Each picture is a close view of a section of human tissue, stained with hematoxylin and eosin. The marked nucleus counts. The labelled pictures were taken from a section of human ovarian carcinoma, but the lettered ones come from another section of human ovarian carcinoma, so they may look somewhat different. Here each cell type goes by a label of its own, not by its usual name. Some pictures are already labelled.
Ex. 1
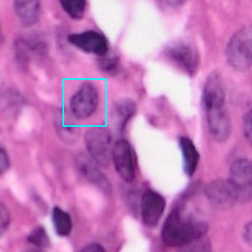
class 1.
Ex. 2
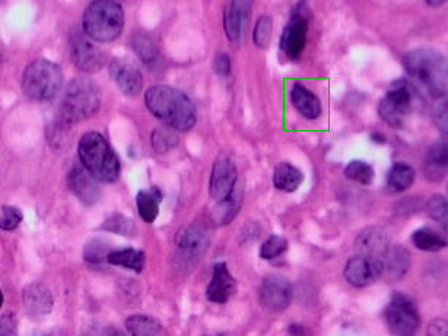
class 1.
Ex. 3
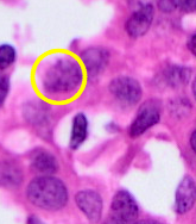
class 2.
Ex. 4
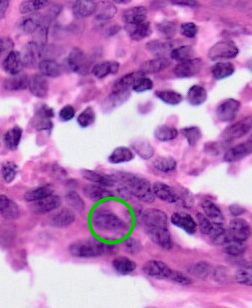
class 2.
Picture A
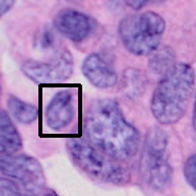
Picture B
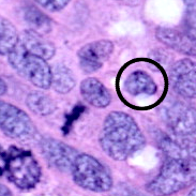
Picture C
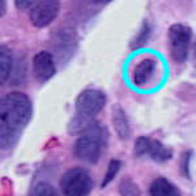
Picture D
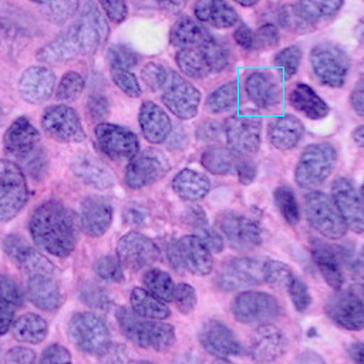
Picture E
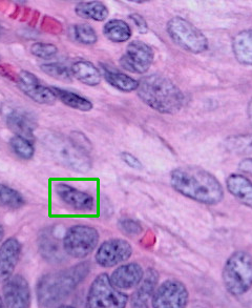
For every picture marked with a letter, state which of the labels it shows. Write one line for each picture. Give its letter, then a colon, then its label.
A: class 1.
B: class 1.
C: class 1.
D: class 2.
E: class 1.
